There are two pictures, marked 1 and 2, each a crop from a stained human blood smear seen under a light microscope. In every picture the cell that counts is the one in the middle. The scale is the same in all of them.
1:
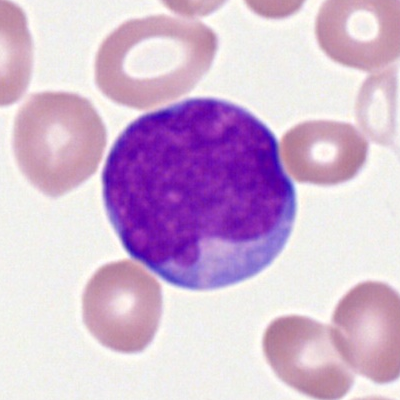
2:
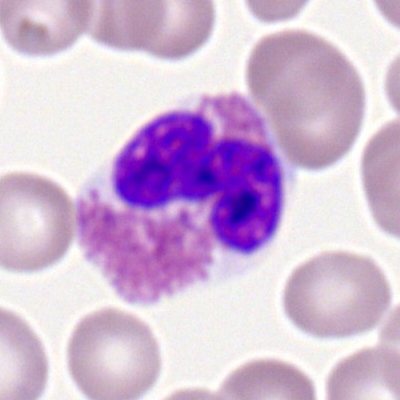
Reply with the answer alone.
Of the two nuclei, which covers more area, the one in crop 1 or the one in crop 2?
1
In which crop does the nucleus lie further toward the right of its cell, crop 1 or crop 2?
2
